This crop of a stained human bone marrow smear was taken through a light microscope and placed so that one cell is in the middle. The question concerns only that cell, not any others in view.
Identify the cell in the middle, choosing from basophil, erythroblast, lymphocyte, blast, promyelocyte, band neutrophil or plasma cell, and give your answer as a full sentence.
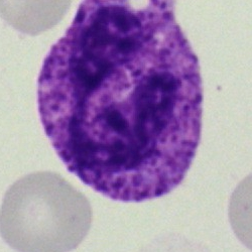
Present in the middle of the crop is a basophil.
